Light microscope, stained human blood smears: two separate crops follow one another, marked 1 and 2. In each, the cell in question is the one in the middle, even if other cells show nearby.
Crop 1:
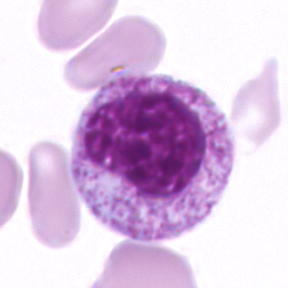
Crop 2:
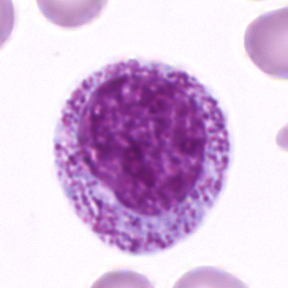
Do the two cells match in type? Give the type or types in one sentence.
Yes, the two central cells, one per crop, are myelocytes.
